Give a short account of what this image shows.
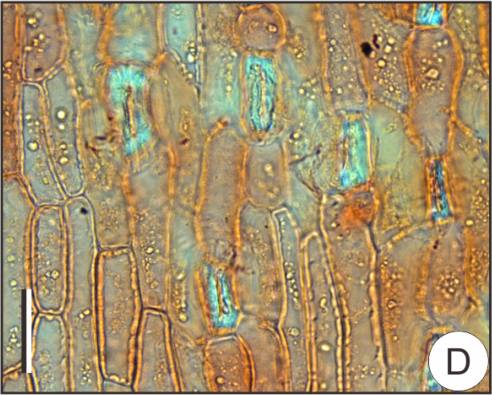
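The epidermal cells are narrow and rectangular to elongate, arranged in longitudinal rows, with thick amber walls. Small granules are visible within many cells. Stomata appear as small elongate bodies with a bluish tint, oriented along the cell rows and lying between the ordinary epidermal cells.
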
